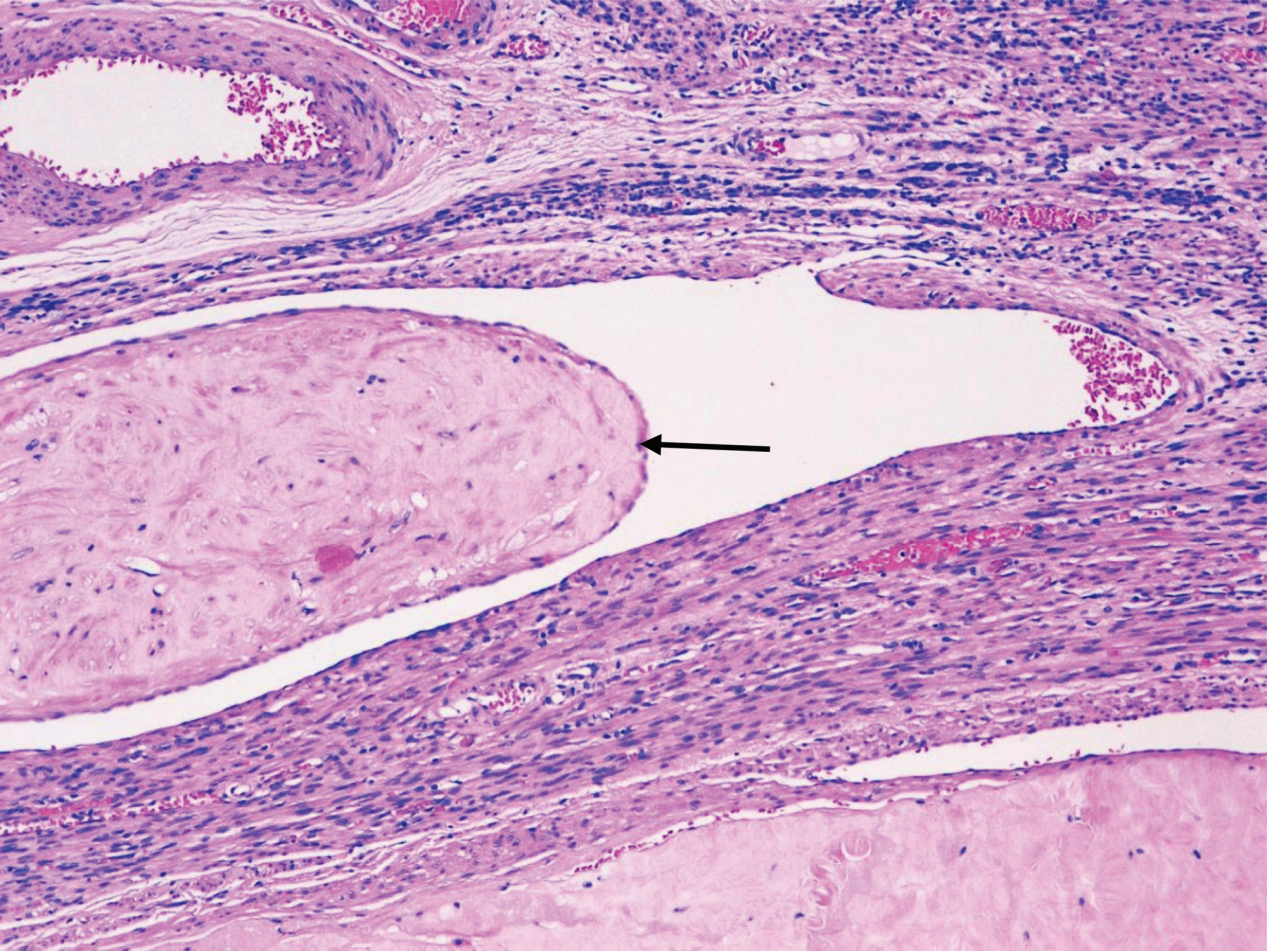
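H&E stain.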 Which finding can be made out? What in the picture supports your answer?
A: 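A pale pink mass of smooth-muscle-like spindle cells lies within a lumen lined by a thin flat cell layer. Red blood cells lie in the same lumen beside the mass. The wall around the lumen is made of dense spindle cells.
Answer: intravenous leiomyomatosis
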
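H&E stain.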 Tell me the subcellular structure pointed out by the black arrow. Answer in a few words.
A: vascular endothelium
